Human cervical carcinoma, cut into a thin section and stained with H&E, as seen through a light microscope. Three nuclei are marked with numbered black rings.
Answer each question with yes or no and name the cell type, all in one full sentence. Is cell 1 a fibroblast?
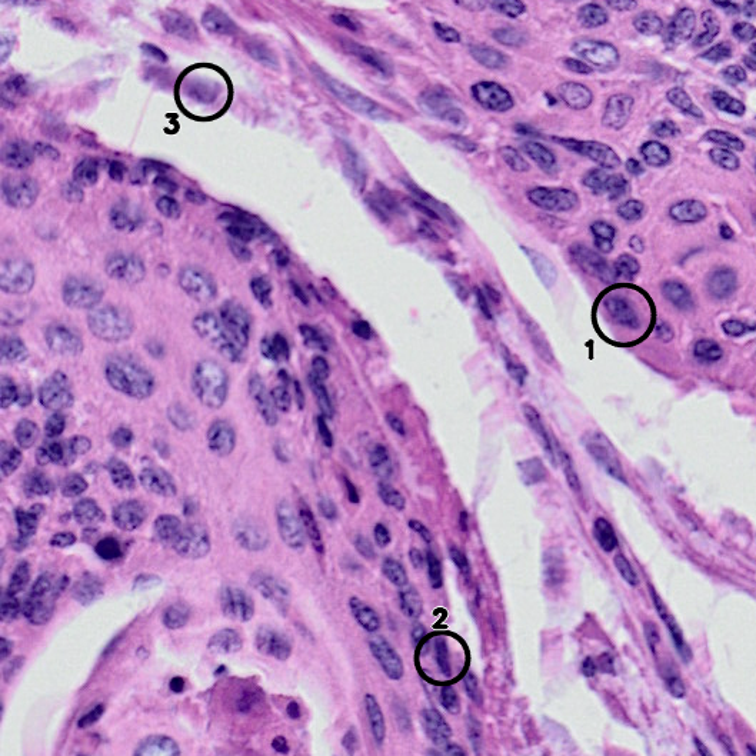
No, cell 1 is not a fibroblast, but is instead a squamous carcinoma cell.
